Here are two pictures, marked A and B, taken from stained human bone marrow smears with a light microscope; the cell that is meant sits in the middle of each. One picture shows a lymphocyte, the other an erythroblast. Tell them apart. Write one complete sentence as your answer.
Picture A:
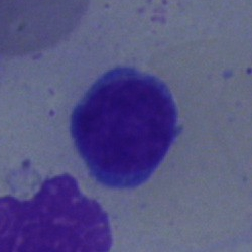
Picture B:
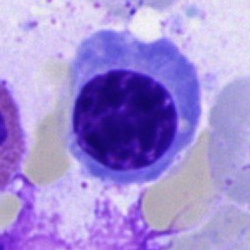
Picture B shows an erythroblast, while picture A shows a lymphocyte.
